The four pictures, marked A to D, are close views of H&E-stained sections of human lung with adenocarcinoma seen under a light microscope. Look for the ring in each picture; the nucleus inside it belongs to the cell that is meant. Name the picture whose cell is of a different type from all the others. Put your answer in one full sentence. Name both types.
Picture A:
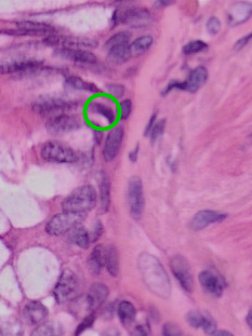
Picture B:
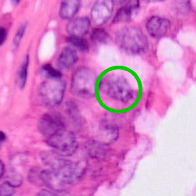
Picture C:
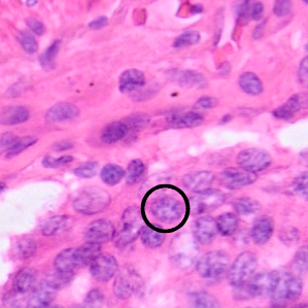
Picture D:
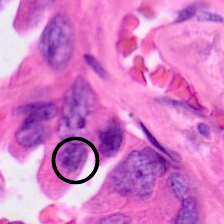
All pictures except D show ciliated epithelial cells; picture D shows a carcinoma cell.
